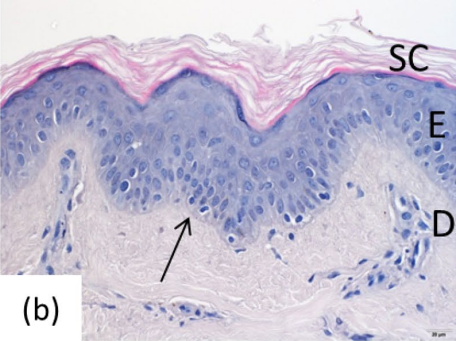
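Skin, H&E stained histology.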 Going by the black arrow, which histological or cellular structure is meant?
Dermal–epidermal junction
